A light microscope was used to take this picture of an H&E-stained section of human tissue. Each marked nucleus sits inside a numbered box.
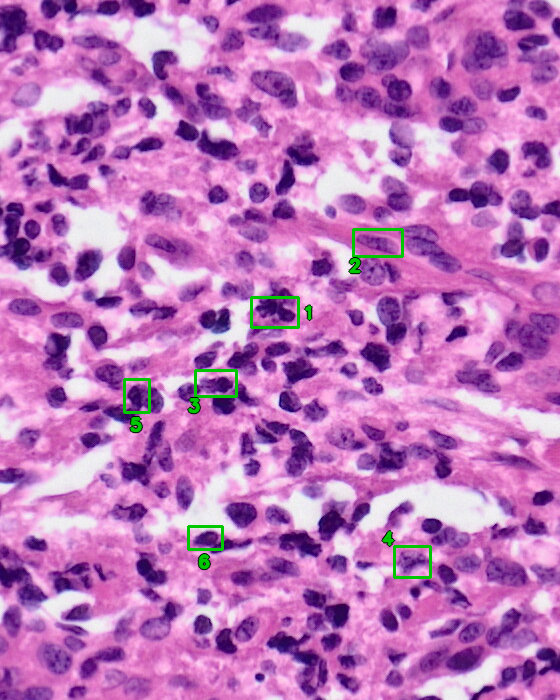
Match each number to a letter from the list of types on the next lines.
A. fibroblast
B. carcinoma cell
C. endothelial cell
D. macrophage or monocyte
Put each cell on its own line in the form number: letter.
1: B
2: C
3: B
4: D
5: B
6: B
